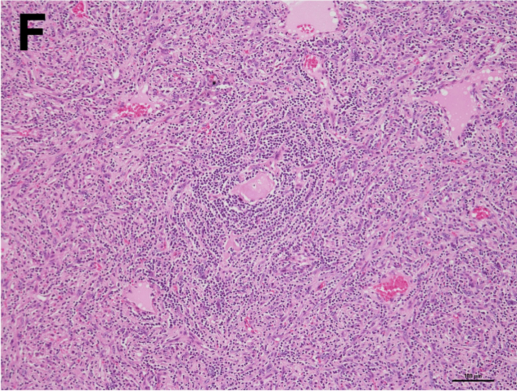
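This tumor tissue is made of a mixture of stromal cells and small lymphocytes arranged around small blood vessels. Further vessels with pink, homogeneous contents and walls are scattered through the field, some containing red blood cells.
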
